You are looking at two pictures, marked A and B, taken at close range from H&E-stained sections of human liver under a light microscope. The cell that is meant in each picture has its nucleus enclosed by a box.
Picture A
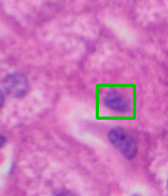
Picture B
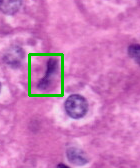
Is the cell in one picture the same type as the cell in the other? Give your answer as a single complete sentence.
No. Picture A shows a “fibroblast or stellate cell”, but picture B shows an endothelial cell.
